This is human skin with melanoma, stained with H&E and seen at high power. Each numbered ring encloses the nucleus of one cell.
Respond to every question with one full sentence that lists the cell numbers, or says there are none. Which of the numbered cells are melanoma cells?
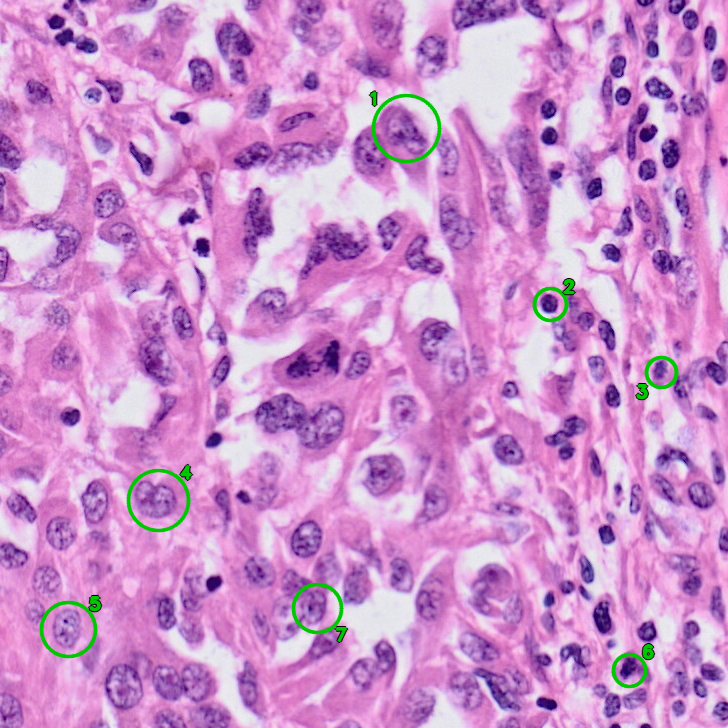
The cells given the numbers 1, 4, 5 and 7 are melanoma cells.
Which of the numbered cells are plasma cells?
Cells 3 and 6 in the section are typed as plasma cells.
